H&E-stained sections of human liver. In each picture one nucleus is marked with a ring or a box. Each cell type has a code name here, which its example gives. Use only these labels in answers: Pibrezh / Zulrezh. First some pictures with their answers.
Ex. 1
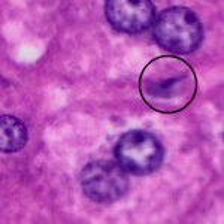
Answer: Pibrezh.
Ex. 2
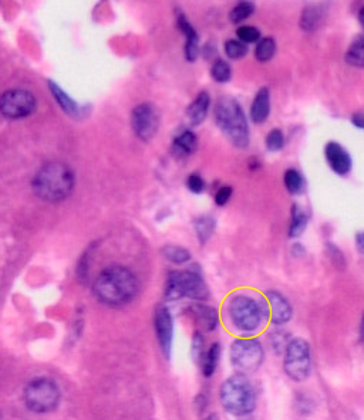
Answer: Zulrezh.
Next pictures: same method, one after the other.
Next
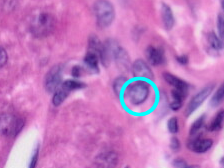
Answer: Zulrezh.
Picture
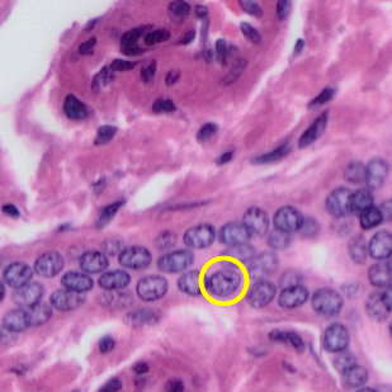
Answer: Zulrezh.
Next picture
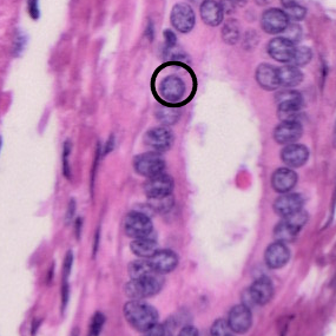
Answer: Zulrezh.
